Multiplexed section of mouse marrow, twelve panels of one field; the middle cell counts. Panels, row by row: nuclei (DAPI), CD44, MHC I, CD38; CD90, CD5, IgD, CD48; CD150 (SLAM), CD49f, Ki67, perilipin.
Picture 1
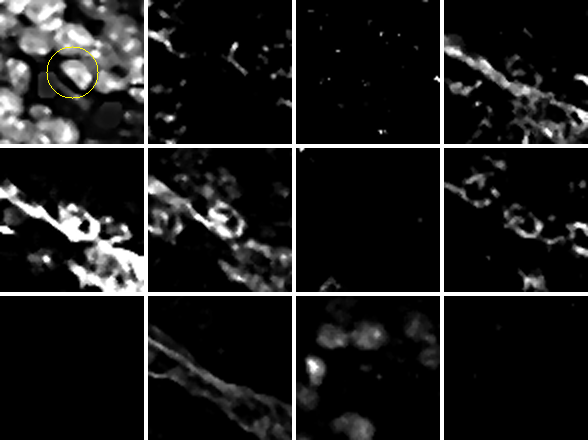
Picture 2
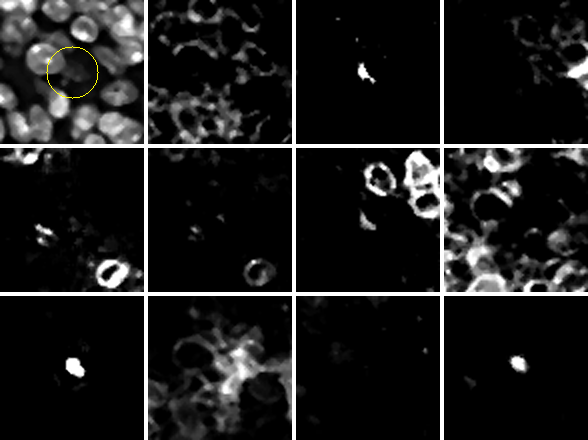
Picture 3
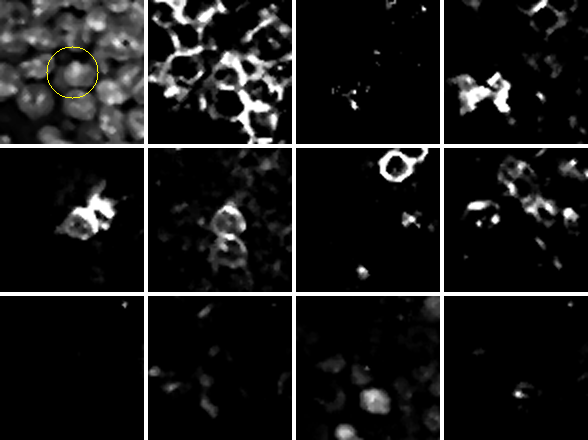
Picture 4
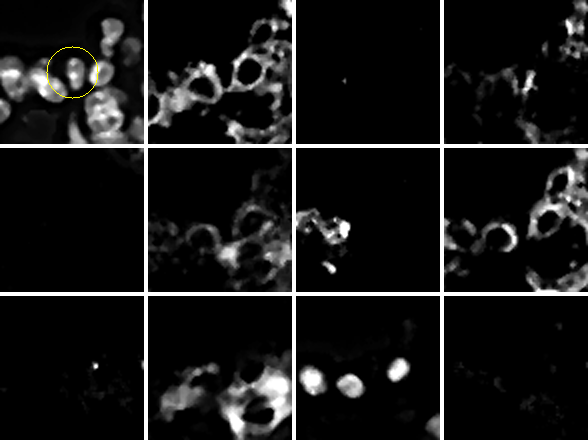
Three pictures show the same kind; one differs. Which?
Picture 4: a capillary endothelial cell, while the others are T cells.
